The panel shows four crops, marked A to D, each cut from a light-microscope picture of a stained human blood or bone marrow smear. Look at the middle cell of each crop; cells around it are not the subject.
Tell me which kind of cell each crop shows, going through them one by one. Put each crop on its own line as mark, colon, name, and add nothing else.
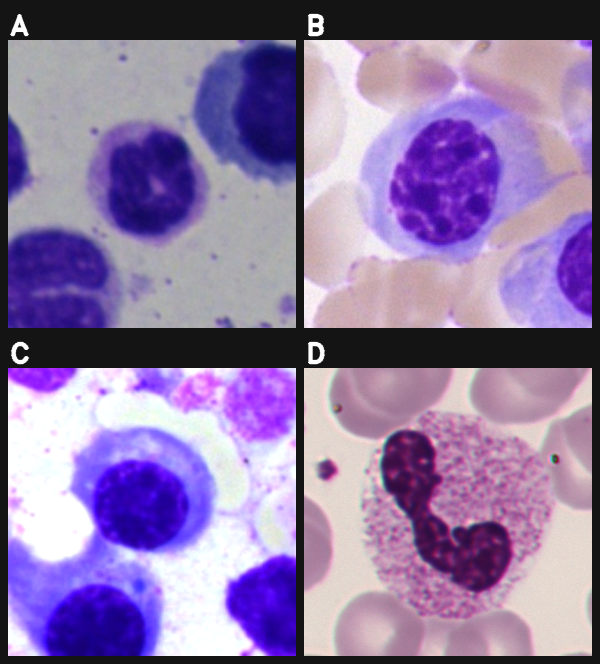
A: segmented neutrophil
B: erythroblast
C: erythroblast
D: segmented neutrophil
